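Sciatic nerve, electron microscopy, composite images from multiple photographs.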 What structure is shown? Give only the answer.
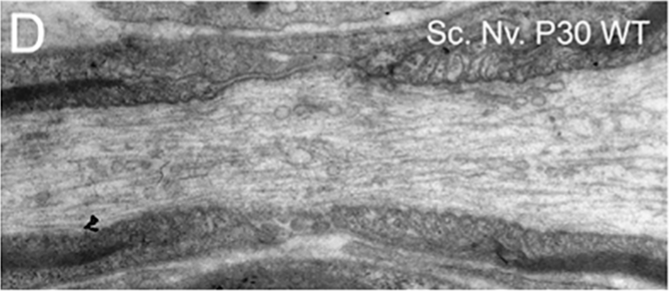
Node of Ranvier.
